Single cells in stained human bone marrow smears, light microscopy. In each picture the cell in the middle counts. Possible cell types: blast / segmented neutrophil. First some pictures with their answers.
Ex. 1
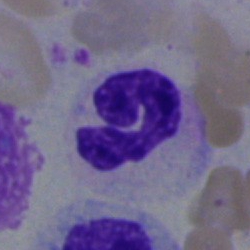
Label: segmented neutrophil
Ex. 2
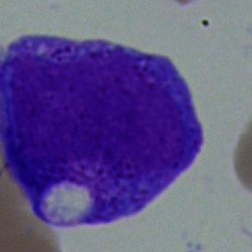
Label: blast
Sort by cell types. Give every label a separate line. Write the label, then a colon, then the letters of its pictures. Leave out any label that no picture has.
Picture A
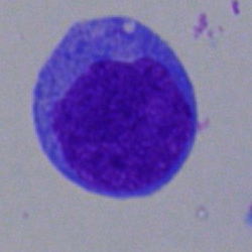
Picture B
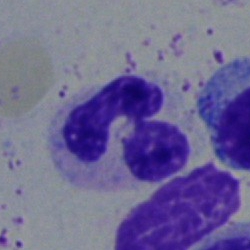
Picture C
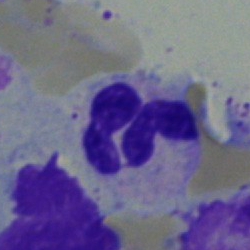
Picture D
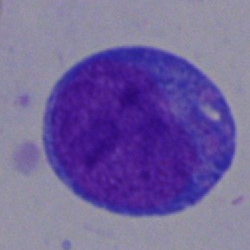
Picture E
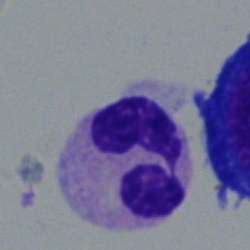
blast: A, D
segmented neutrophil: B, C, E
